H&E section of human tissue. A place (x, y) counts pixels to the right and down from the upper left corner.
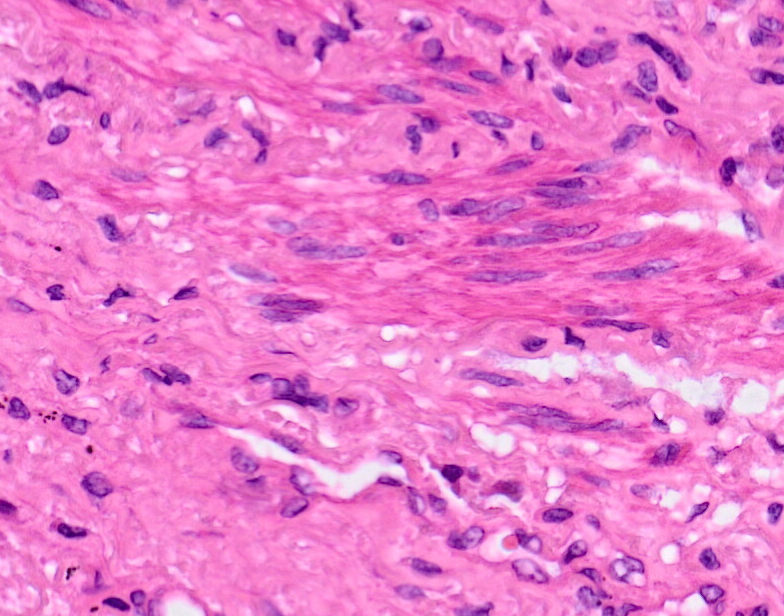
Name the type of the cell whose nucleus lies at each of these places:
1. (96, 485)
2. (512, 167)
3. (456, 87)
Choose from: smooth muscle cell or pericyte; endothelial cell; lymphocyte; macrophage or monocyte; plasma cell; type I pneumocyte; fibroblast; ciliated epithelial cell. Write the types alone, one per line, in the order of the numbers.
fibroblast
smooth muscle cell or pericyte
smooth muscle cell or pericyte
